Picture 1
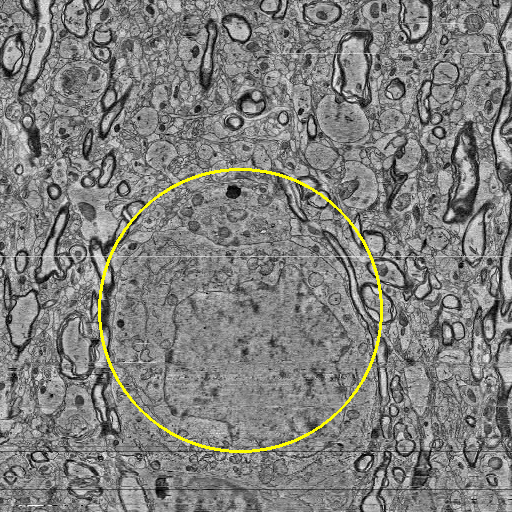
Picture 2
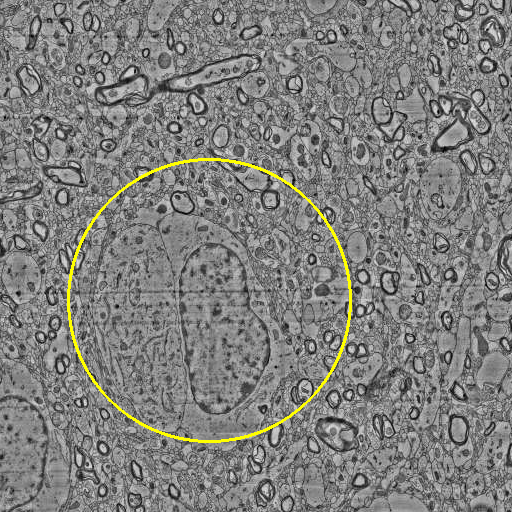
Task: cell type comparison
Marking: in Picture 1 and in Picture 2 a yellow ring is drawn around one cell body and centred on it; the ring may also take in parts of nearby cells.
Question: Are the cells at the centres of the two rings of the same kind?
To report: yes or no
no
